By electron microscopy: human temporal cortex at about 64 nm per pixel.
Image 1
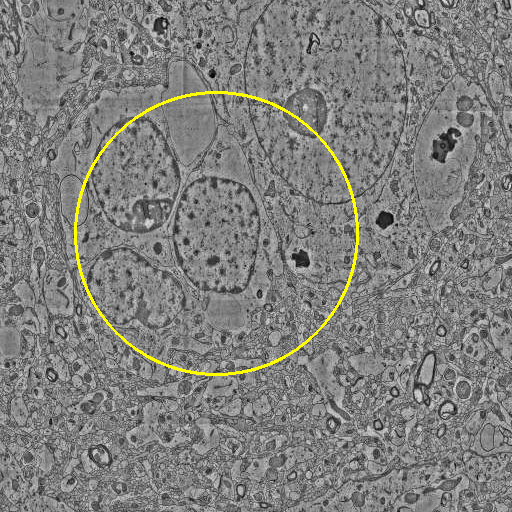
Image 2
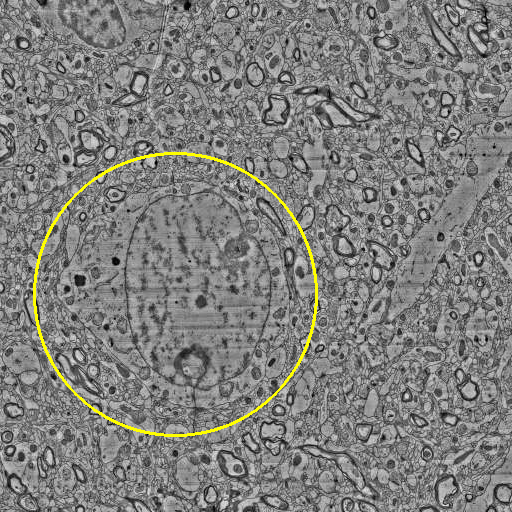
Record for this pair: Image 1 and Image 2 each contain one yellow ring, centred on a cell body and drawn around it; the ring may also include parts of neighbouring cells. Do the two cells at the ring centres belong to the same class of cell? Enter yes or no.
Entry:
no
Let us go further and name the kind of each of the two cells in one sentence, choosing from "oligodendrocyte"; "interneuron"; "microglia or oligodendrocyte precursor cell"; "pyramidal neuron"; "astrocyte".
The ring of the first picture is on an astrocyte, the ring of the second on a pyramidal neuron.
